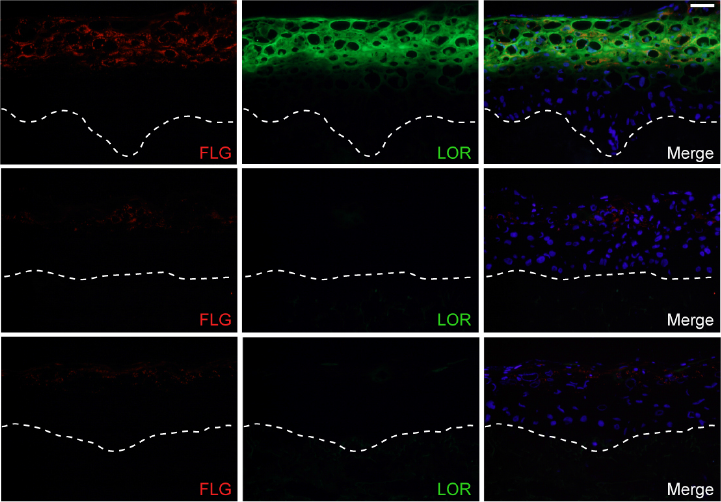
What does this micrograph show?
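Top row: a thick epithelium whose upper layers are filled with bright green, honeycomb-like cell outlines of large flattened cells, with red granular stain in the same upper zone; blue nuclei sit mostly in the lower layers. Lower two rows: a thinner epithelium of densely packed blue nuclei right up to the surface, with almost no green and only faint scattered red, and no bright upper layer of flattened cells.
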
